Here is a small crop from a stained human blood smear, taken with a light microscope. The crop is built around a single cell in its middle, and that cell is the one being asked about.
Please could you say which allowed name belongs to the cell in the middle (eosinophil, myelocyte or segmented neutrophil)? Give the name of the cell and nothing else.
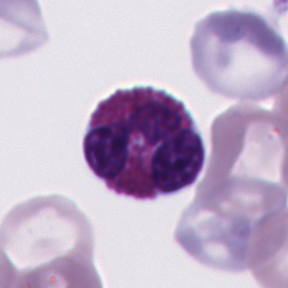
eosinophil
